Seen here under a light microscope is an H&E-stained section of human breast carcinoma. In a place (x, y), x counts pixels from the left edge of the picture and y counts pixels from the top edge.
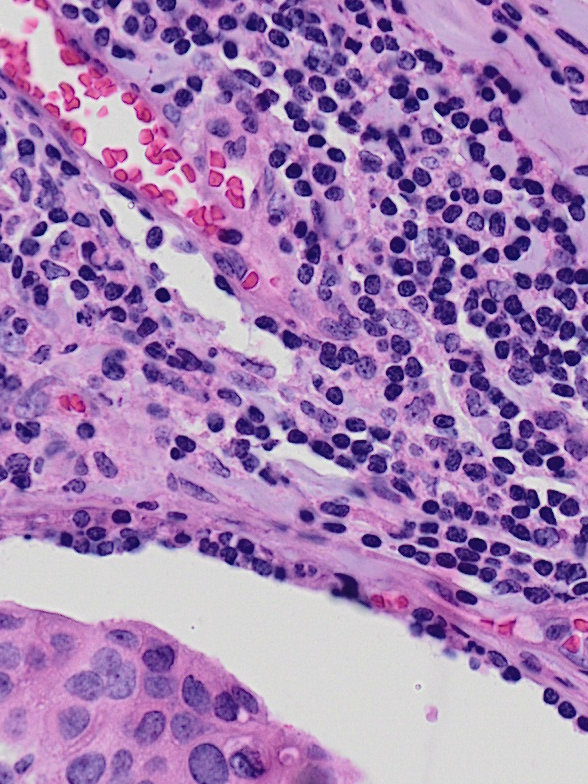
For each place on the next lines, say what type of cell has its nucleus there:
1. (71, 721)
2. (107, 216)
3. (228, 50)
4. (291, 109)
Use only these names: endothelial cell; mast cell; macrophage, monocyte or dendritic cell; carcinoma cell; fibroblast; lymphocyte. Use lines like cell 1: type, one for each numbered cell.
cell 1: carcinoma cell
cell 2: lymphocyte
cell 3: lymphocyte
cell 4: lymphocyte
